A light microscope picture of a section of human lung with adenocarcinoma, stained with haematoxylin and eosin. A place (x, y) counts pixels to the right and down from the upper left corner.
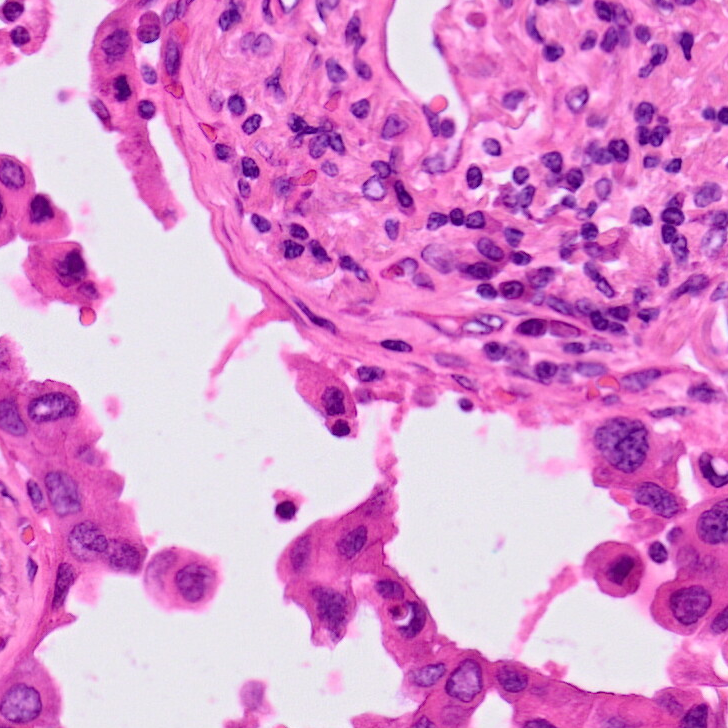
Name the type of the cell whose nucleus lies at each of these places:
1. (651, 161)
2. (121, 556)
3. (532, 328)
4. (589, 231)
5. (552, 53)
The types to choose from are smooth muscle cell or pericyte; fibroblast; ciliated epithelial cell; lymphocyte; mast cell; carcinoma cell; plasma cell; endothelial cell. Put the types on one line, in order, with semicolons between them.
lymphocyte; carcinoma cell; plasma cell; lymphocyte; lymphocyte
